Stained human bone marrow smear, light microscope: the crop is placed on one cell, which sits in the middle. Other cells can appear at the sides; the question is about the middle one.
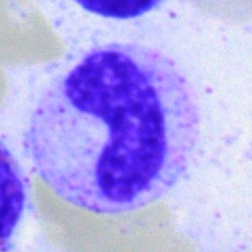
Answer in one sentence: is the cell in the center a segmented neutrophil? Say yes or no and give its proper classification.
No, what is centred in the crop is not a segmented neutrophil but a band neutrophil.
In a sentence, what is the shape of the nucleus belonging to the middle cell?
The nucleus is one compact mass, round, oval or kidney-shaped in outline.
